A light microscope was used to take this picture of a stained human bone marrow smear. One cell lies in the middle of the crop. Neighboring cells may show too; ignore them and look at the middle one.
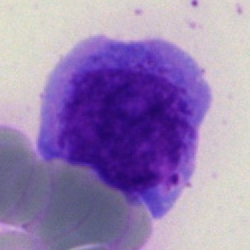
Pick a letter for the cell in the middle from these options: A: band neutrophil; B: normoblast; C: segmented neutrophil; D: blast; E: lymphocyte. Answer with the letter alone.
D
